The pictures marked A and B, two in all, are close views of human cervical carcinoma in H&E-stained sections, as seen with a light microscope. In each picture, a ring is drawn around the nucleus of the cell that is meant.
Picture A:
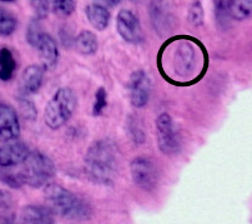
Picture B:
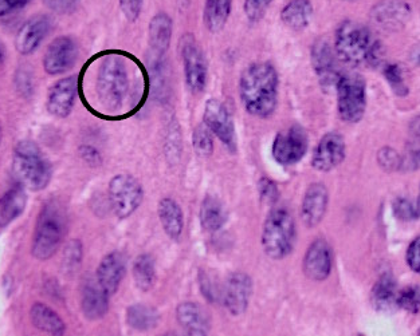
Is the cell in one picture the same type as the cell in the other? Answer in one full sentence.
Yes, they are the same type: both are squamous carcinoma cells.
